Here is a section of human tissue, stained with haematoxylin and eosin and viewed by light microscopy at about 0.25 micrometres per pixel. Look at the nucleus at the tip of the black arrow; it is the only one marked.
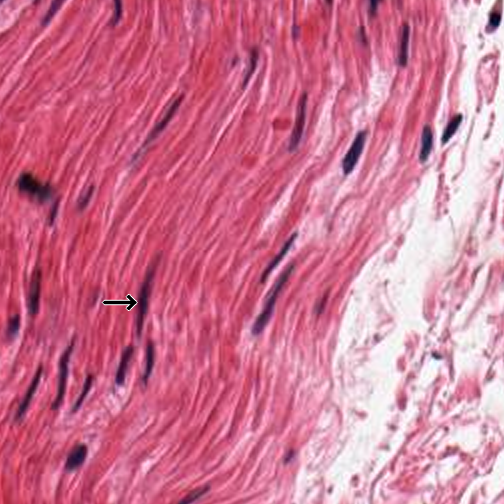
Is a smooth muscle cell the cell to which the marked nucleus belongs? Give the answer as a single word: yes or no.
yes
